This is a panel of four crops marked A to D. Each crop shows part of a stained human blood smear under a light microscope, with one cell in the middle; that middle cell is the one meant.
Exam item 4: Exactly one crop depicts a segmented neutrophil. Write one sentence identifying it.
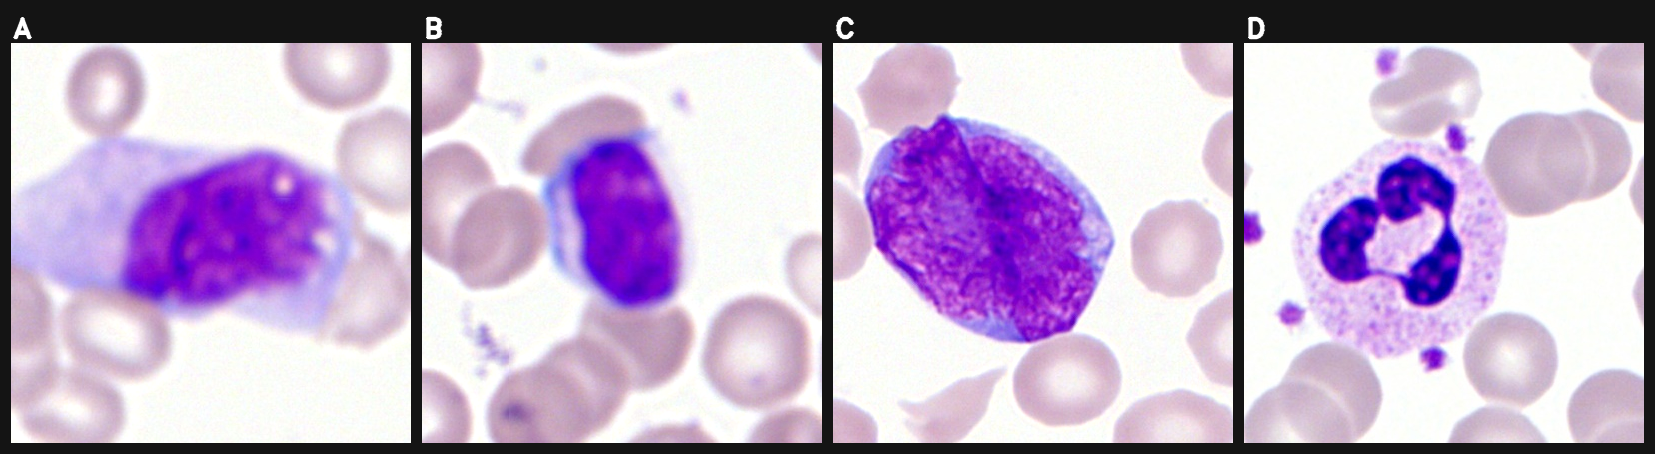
Crop D is the one that shows a segmented neutrophil.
